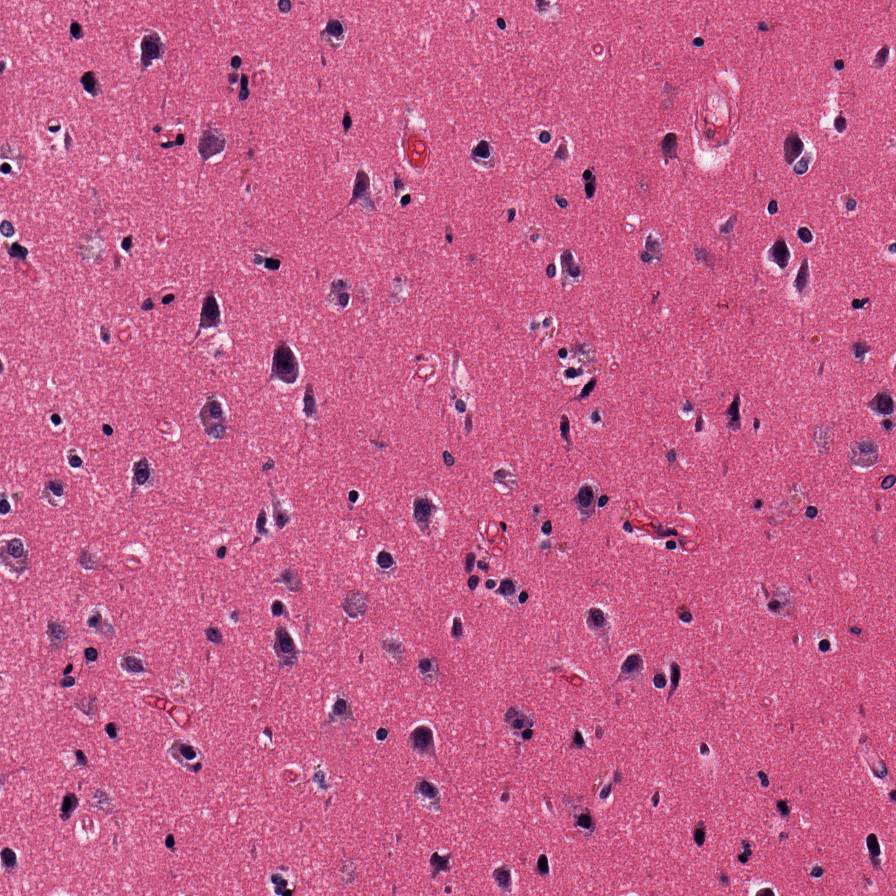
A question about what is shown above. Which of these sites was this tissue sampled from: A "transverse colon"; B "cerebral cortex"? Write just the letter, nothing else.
B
